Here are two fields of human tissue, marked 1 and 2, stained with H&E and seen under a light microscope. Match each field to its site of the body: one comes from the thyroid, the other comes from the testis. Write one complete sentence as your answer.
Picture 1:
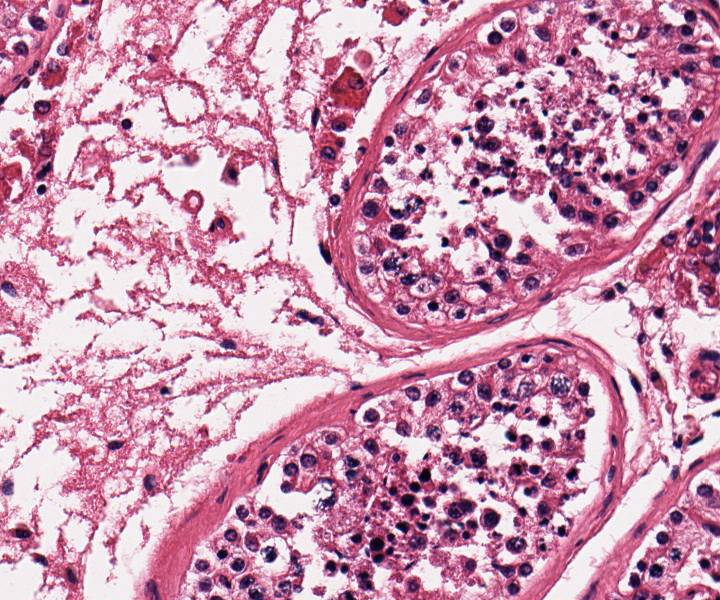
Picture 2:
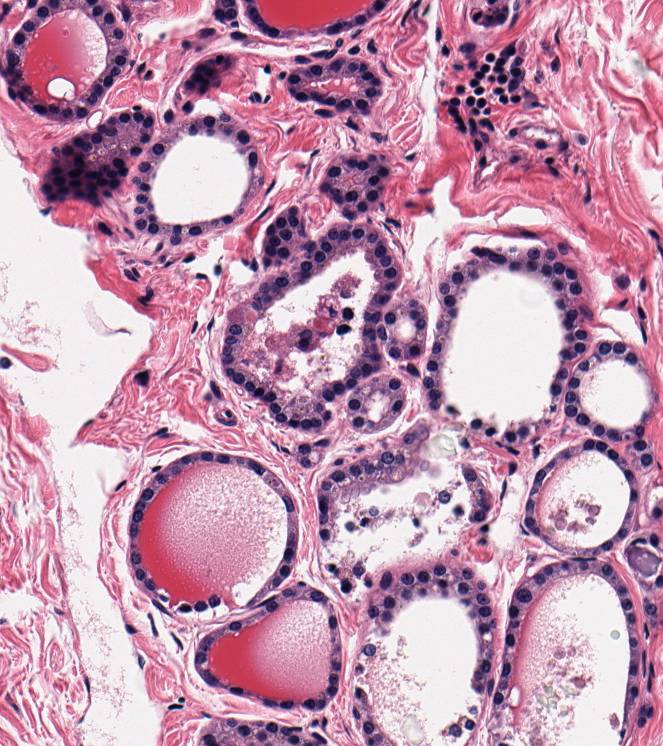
Picture 2 comes from the thyroid, while picture 1 comes from the testis.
